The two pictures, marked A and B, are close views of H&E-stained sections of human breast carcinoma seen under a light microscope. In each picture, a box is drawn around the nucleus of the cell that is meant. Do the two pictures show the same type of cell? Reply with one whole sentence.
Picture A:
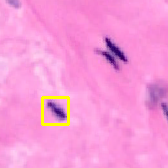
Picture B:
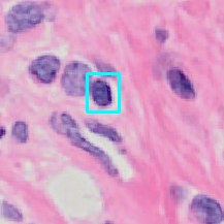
No. Picture A shows a fibroblast, but picture B shows a lymphocyte.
